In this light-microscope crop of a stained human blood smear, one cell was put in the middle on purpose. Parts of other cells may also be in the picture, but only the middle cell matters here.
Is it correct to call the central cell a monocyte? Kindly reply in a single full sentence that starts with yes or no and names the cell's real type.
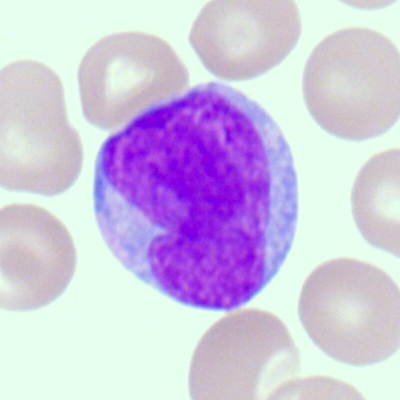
No, the middle one is a blast rather than a monocyte.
